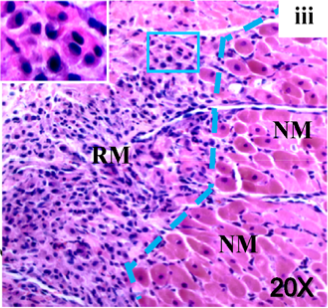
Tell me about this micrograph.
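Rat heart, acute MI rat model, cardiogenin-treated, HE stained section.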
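On the right, bounded by a blue dashed line, are large pink myocytes cut across, with abundant eosinophilic cytoplasm and central nuclei. To the left lie many much smaller, crowded cells with dark purple round nuclei and little pink cytoplasm, several times smaller than the normal myocytes.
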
